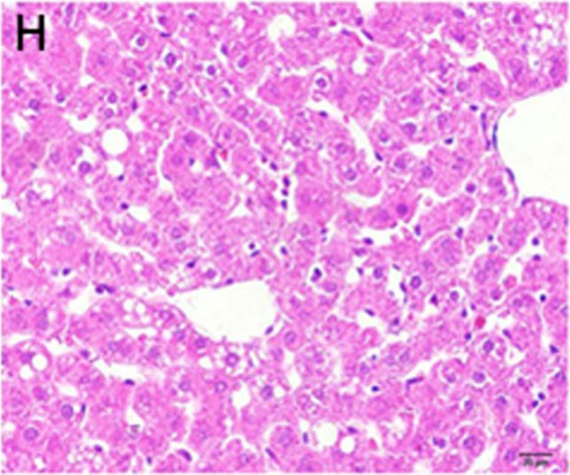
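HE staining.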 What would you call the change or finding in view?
Hepatocyte steatosis.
